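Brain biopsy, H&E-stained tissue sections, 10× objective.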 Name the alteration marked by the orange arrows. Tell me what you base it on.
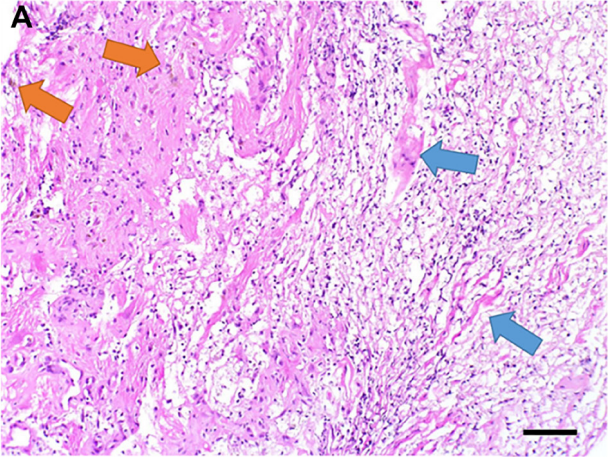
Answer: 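Hemosiderin. Small golden-brown granular deposits lie at the tips of the arrows. The deposits sit within pink fibrillar parenchyma.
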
